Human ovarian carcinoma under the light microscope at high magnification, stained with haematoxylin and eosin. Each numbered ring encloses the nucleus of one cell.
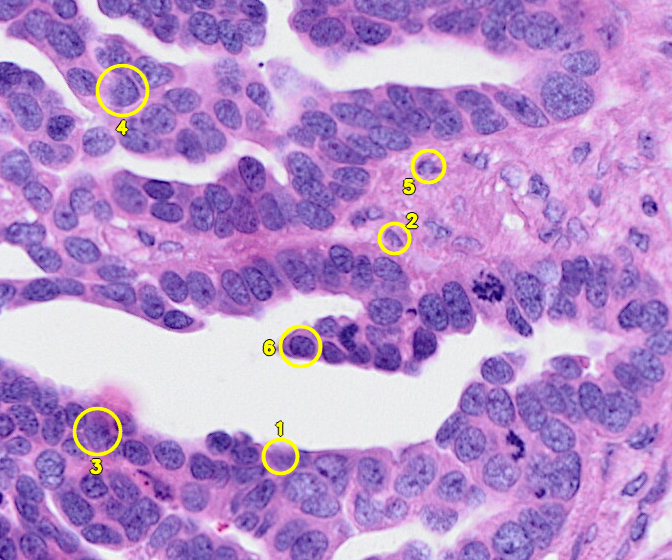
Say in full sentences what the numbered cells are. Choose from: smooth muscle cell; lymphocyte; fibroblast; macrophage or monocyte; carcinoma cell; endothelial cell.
Cell 1 is a carcinoma cell, cell 2 is a fibroblast, cell 3 is a carcinoma cell, cell 4 is a carcinoma cell, cell 5 is a fibroblast and cell 6 is a carcinoma cell.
